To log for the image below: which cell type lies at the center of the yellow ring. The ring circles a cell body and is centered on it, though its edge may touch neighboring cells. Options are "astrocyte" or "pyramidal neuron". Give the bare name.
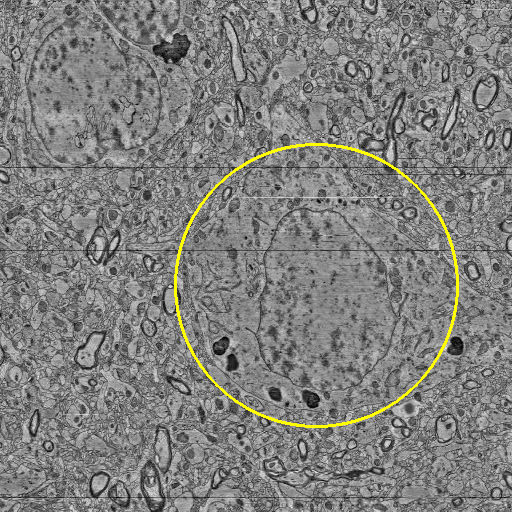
pyramidal neuron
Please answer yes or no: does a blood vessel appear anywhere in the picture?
No, there is no blood vessel in the image.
